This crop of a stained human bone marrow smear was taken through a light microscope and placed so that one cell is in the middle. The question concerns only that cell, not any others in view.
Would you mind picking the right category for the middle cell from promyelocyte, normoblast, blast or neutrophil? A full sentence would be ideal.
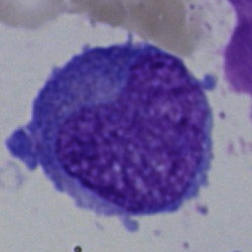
The cell occupying the middle of the crop is a blast.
